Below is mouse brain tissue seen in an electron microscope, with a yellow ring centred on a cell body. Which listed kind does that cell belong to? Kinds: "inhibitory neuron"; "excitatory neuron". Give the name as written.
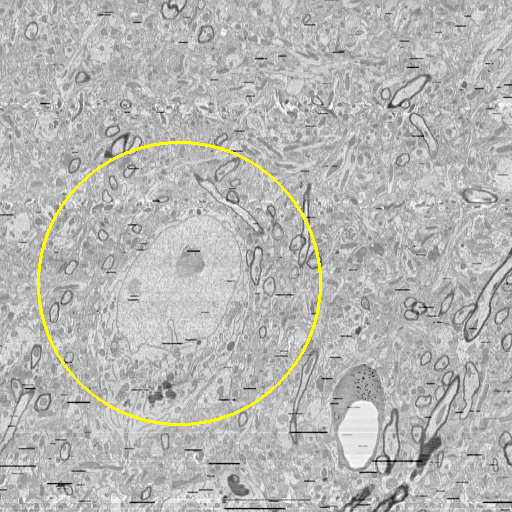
inhibitory neuron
